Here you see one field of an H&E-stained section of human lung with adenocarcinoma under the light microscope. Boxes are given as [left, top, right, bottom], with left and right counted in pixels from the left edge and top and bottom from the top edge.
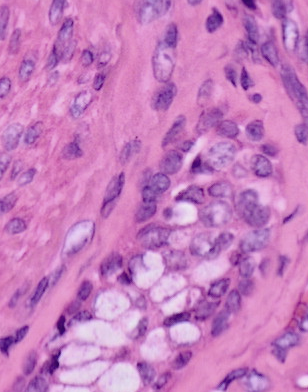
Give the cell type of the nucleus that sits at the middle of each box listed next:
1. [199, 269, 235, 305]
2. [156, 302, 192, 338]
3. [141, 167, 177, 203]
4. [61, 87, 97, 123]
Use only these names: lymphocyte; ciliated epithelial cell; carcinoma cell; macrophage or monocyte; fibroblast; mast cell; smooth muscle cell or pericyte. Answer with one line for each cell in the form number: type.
1: ciliated epithelial cell
2: ciliated epithelial cell
3: ciliated epithelial cell
4: smooth muscle cell or pericyte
